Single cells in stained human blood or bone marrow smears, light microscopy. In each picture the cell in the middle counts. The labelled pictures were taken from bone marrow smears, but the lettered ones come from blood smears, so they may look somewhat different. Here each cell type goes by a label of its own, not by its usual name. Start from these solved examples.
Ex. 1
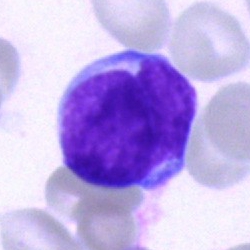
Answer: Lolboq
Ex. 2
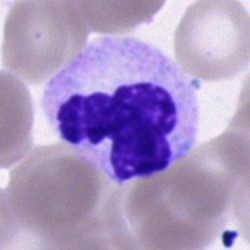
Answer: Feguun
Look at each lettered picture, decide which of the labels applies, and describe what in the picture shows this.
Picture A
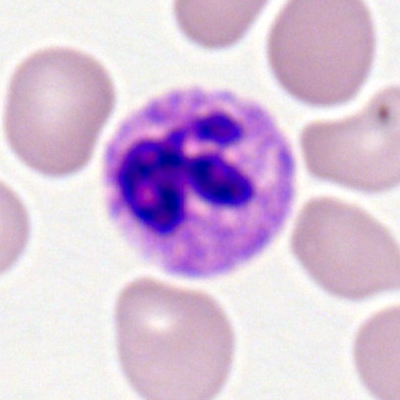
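Label: Feguun. The cytoplasm is abundant and pale lilac.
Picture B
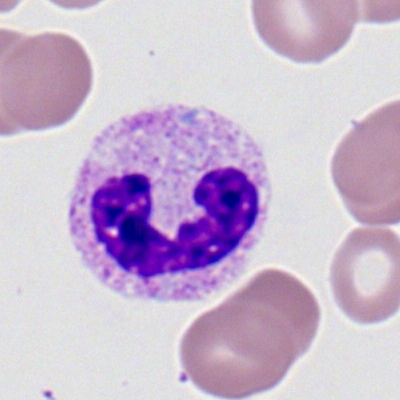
Label: Feguun. The nucleus is a single curved band shaped like a horseshoe whose opening faces upward.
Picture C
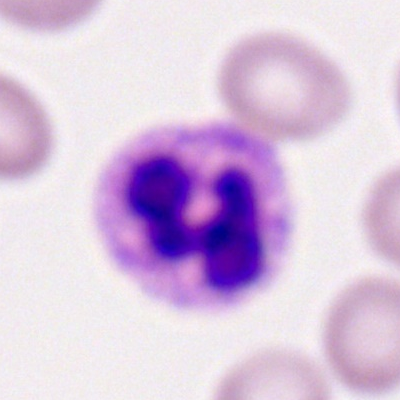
Label: Feguun. The cytoplasm is plentiful and pale pinkish-lilac.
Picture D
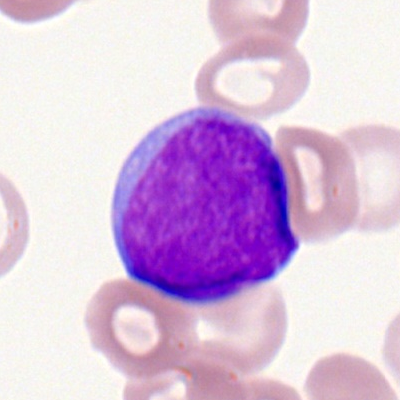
Label: Lolboq. The cytoplasm forms only a thin rim around the nucleus.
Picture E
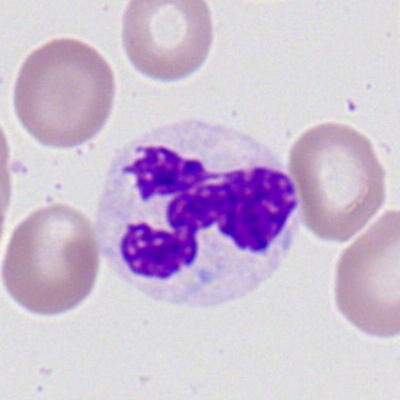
Label: Feguun. The nucleus is divided into three lobes.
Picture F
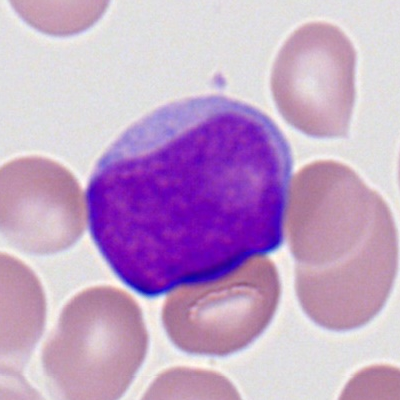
Label: Lolboq. The nucleus fills most of the cell.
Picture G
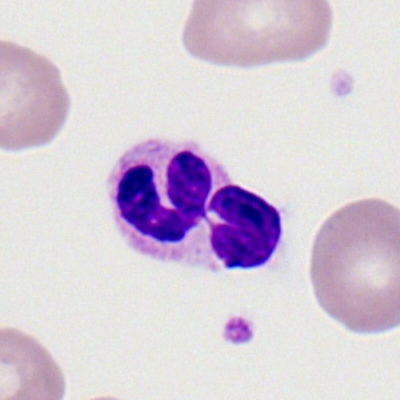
Label: Feguun. The cytoplasm is pale pink-lilac rather than blue.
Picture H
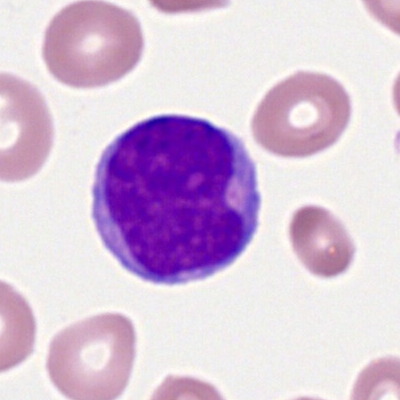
Label: Lolboq. The nucleus fills most of the cell.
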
